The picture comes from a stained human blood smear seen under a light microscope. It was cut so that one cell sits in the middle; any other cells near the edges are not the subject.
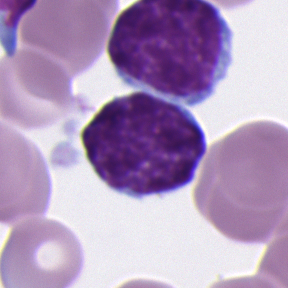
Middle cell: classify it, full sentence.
Centred in the crop is a lymphocyte.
